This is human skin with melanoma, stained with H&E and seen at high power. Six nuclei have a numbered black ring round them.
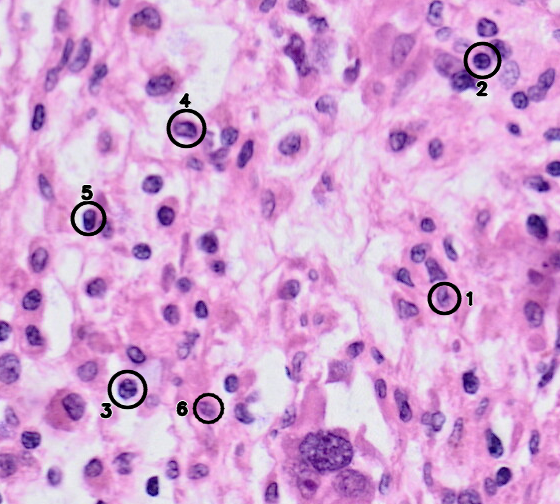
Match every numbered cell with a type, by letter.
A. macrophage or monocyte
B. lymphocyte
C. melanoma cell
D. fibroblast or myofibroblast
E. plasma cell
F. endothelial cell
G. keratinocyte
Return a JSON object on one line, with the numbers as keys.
{"1": "A", "2": "B", "3": "B", "4": "A", "5": "B", "6": "A"}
